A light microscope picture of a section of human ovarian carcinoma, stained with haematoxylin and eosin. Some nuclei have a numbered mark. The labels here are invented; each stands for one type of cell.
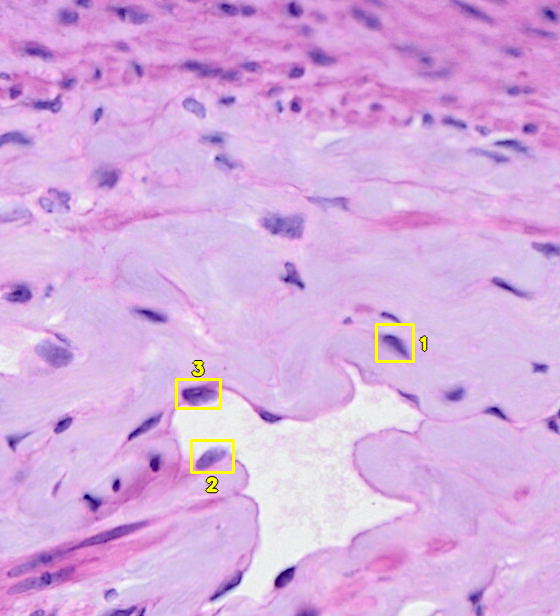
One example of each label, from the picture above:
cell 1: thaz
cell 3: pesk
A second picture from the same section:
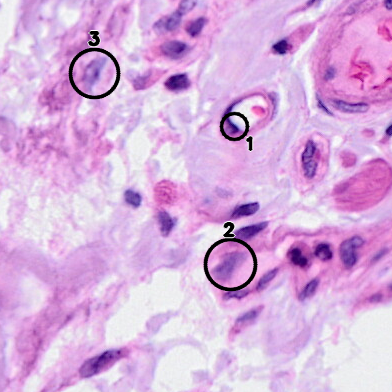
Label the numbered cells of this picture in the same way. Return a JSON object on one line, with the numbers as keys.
{"1": "pesk", "2": "pesk", "3": "thaz"}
